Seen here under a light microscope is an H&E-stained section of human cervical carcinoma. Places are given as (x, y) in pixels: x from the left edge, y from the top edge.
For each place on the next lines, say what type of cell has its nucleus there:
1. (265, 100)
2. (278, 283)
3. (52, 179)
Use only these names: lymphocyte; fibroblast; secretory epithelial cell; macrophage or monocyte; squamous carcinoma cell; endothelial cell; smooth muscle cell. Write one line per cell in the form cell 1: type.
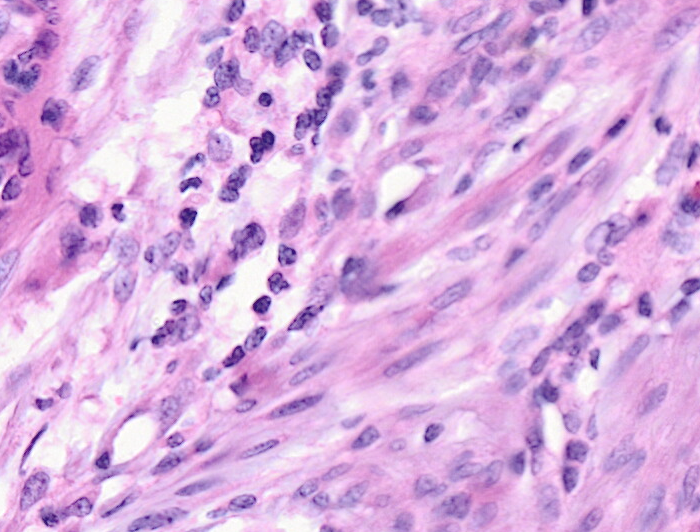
cell 1: lymphocyte
cell 2: lymphocyte
cell 3: squamous carcinoma cell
